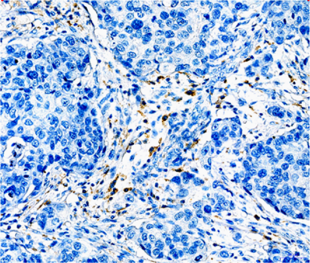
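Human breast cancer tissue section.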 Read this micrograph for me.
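The tumor cells are large, with round to oval blue nuclei and pale cytoplasm, and they crowd together in irregular groups. Between these groups run narrow bands of pale connective tissue. In these bands lie many small, irregular or elongated cells stained brown, scattered singly rather than in clusters.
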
